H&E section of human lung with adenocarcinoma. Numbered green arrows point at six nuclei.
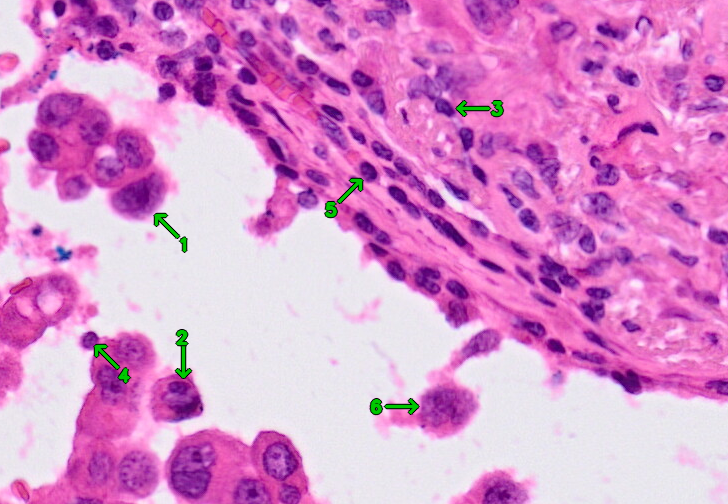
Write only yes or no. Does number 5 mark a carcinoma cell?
no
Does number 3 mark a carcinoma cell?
no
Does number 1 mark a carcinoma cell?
yes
